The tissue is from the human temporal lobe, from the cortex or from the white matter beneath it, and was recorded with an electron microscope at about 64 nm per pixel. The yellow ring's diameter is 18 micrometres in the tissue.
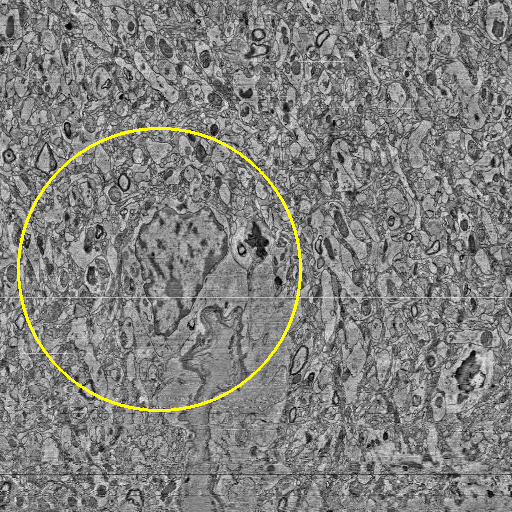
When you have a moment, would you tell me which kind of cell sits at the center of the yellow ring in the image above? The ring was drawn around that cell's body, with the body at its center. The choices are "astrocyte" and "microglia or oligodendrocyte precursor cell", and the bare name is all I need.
microglia or oligodendrocyte precursor cell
